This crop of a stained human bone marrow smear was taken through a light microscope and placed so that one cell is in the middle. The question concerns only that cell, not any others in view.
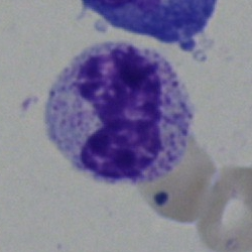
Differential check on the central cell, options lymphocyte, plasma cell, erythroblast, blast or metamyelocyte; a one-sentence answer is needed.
Among the cells in view, the one in the middle is a metamyelocyte.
